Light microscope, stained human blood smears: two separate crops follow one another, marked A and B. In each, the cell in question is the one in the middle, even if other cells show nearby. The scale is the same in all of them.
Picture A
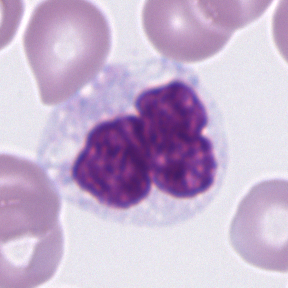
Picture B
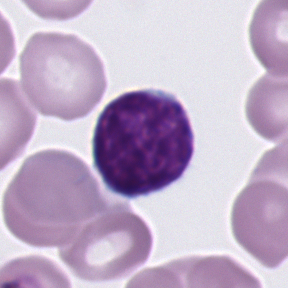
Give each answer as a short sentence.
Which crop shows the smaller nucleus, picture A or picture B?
Picture B shows the smaller nucleus, since that in picture A covers about 1.5 times as much area.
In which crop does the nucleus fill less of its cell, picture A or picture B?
The nucleus fills less of the cell in picture A than in picture B.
